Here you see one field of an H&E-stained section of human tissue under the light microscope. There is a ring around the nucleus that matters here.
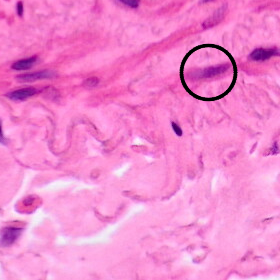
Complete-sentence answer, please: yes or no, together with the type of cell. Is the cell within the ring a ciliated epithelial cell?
No, the cell within the ring is not to be called a ciliated epithelial cell; it is a smooth muscle cell or pericyte.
